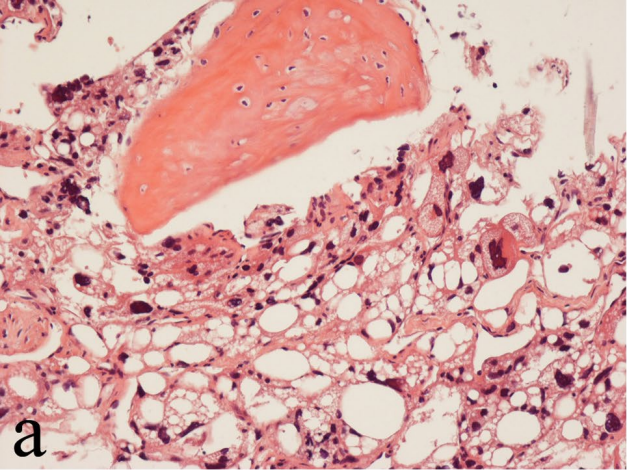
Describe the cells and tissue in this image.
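Tumour infiltrating cancellous bone, with a pink bony trabecula at the top. Below and around it lie many cells with clear vacuolated cytoplasm, the vacuoles of varying size. Scattered large cells have dark, irregular, atypical nuclei. The tissue between the cells is loose and lace-like.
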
